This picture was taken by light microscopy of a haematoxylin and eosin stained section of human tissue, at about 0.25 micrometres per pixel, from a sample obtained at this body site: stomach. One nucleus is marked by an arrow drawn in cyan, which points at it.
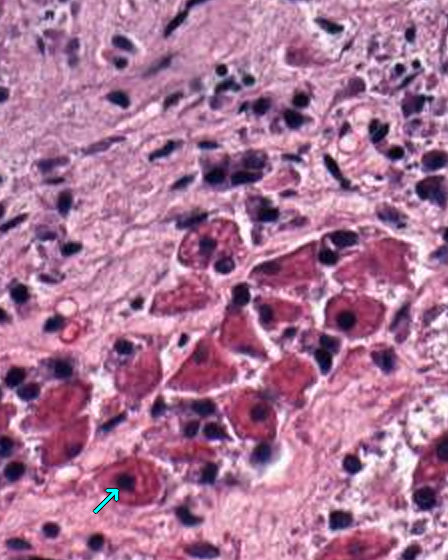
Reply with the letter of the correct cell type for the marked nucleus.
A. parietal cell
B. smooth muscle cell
A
